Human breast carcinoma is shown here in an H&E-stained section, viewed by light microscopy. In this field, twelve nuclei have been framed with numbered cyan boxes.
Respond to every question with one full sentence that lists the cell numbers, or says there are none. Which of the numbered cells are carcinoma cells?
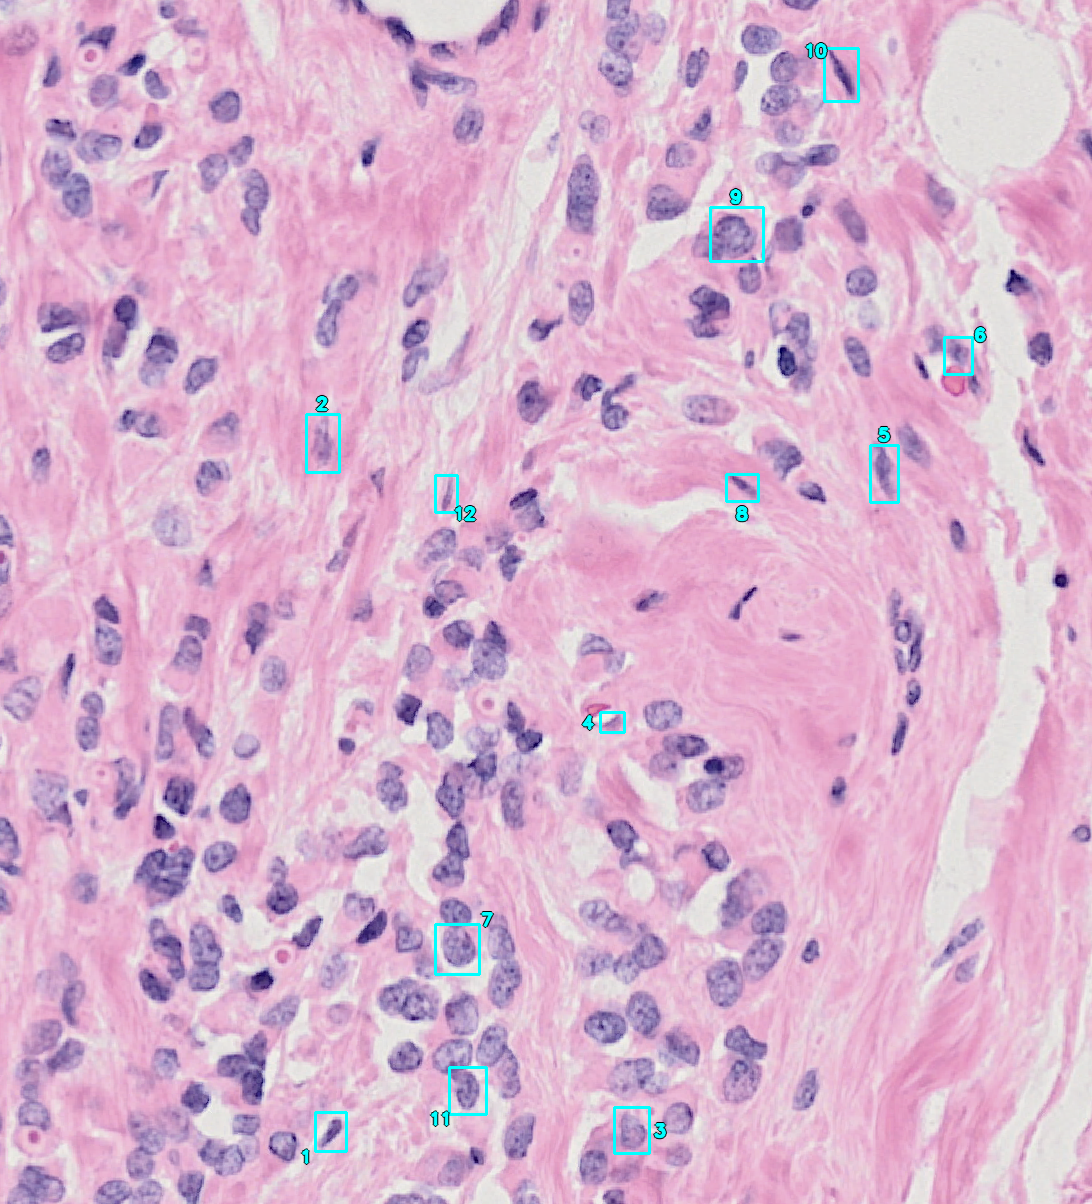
When it comes to cells 3, 7, 9 and 11, they are carcinoma cells.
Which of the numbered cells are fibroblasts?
The cells bearing the numbers 1, 2, 5, 8, 10 and 12 are fibroblasts.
